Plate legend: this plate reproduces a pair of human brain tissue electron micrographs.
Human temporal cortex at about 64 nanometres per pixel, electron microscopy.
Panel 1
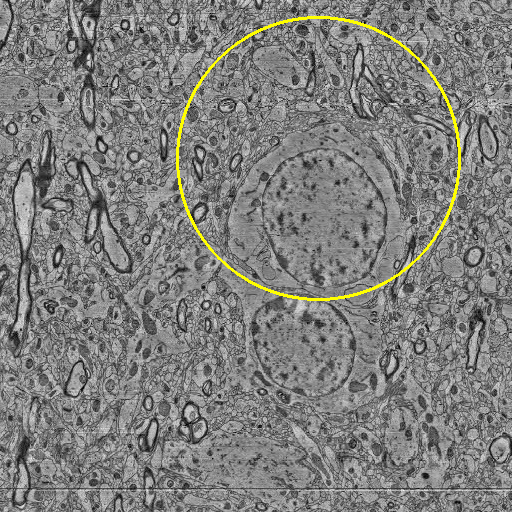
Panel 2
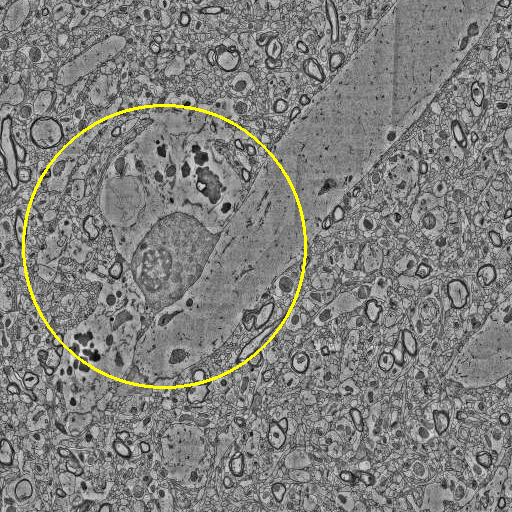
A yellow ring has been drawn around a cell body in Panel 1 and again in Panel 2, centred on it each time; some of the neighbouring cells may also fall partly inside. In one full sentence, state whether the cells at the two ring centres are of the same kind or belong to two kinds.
The ring-centred cells of Panel 1 and Panel 2 belong to two kinds.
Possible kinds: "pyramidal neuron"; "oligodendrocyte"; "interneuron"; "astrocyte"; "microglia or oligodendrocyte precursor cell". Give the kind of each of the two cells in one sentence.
The cell in the second picture is an oligodendrocyte, and that in the first is an astrocyte.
